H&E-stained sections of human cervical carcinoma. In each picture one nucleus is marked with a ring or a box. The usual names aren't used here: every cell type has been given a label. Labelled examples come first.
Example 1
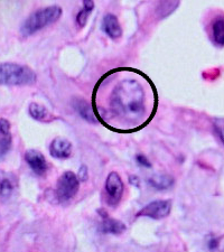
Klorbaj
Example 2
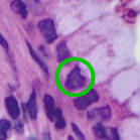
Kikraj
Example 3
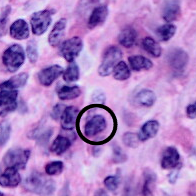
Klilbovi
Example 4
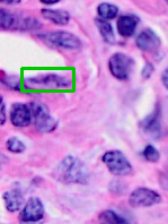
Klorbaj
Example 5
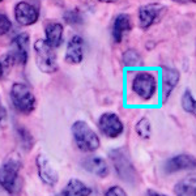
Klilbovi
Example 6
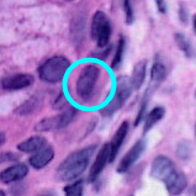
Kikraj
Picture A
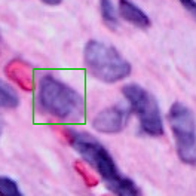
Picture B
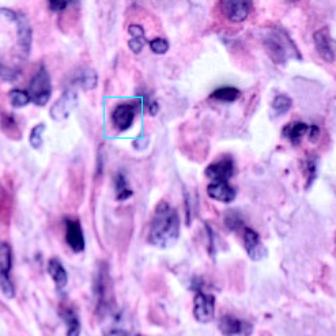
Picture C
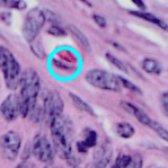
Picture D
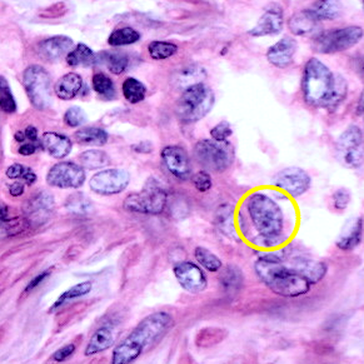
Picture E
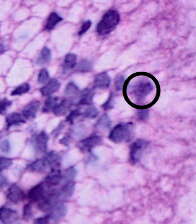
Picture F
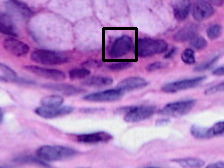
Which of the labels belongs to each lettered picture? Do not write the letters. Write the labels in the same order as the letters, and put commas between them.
Klorbaj, Klilbovi, Klorbaj, Klorbaj, Kikraj, Kikraj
